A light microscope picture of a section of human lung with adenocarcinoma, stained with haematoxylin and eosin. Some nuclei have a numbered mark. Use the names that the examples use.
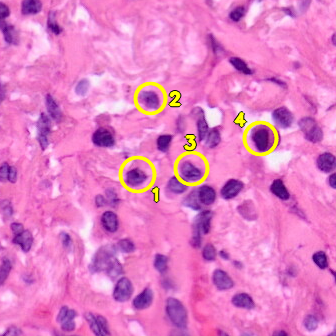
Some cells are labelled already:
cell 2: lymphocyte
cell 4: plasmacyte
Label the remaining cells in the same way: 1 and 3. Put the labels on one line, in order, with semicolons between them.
lymphocyte; lymphocyte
